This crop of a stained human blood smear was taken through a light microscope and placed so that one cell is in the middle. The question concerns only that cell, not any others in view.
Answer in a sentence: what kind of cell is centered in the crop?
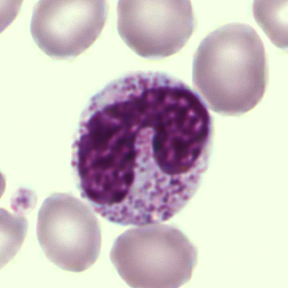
The crop's centre is taken up by a band neutrophil.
